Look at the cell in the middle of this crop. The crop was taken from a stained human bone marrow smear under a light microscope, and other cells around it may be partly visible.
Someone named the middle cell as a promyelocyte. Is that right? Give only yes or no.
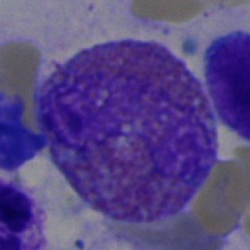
no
